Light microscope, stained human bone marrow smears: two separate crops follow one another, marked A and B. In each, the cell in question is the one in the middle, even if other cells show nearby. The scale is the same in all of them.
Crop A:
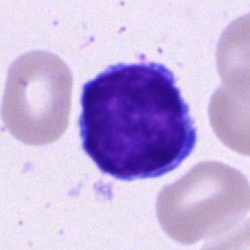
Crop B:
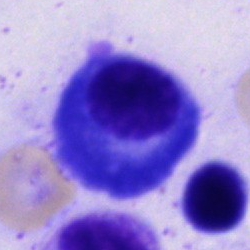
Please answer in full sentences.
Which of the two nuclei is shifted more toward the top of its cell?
Seen within its cell, the nucleus in crop B lies further toward the top.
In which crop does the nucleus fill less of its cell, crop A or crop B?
Of the two, the nucleus in crop B leaves more room for cytoplasm.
